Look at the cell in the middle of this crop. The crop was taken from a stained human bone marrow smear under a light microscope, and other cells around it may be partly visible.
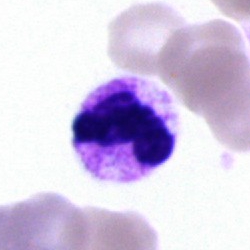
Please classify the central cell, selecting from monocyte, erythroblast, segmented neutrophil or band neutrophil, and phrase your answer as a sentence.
Present in the middle of the crop is a segmented neutrophil.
